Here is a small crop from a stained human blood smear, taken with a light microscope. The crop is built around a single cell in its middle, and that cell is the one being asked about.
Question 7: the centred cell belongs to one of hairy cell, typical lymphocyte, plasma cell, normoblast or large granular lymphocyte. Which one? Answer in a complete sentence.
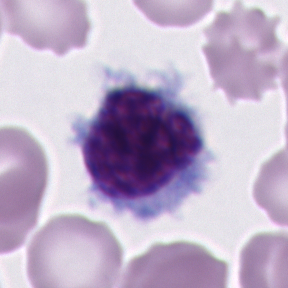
The target cell in the middle of the crop is a hairy cell.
